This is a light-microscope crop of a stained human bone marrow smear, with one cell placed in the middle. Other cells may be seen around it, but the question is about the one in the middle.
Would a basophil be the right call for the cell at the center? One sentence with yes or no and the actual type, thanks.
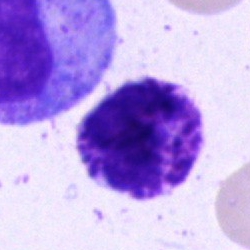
Yes, the cell that the crop is centered on is a basophil.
